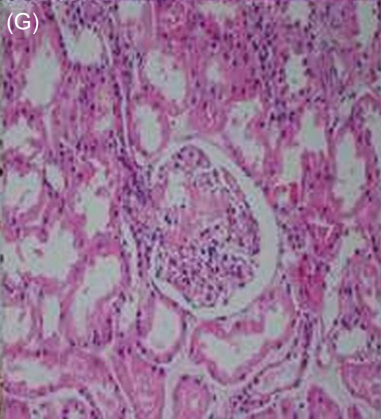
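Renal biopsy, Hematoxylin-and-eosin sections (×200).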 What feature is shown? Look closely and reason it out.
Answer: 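Glomeruli. A round tuft of cells sits inside a clear space with a thin capsule. It is surrounded by tubules lined by pink cuboidal cells.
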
